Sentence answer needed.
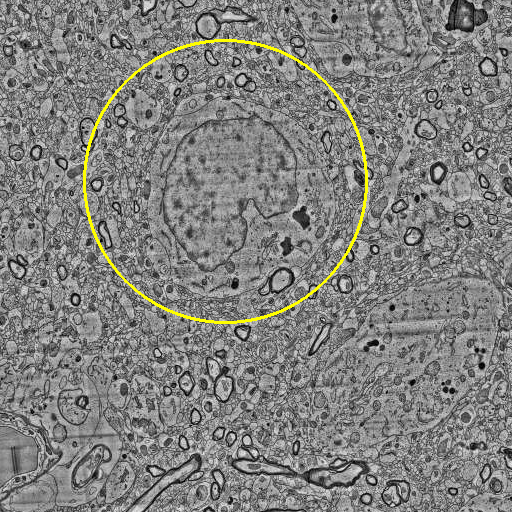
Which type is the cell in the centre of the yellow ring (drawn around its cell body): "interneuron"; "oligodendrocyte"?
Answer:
In the centre of the yellow ring is an interneuron.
